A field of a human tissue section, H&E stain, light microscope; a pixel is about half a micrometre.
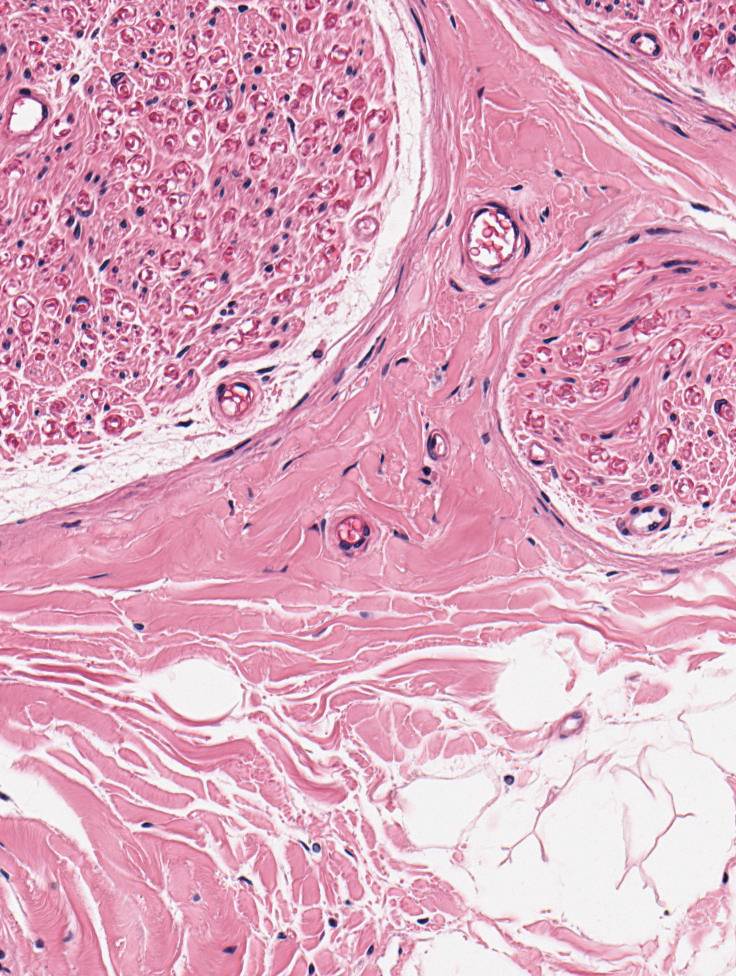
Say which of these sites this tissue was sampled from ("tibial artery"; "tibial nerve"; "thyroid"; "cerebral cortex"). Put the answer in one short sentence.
The site this tissue was sampled from is the tibial nerve.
